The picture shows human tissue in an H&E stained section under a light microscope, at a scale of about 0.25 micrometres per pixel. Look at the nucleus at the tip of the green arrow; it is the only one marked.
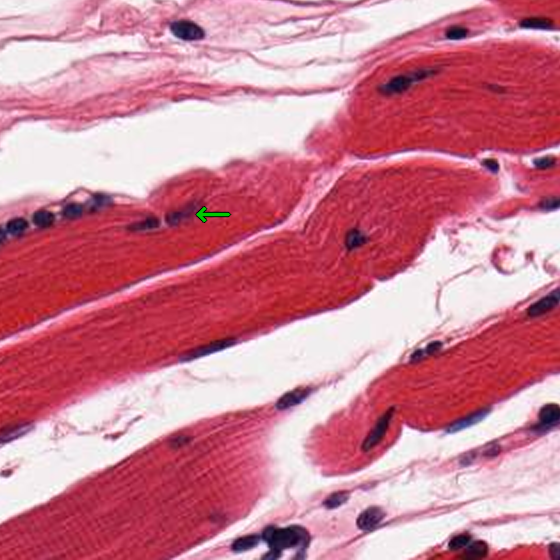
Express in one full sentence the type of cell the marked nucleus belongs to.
As shown, the marked nucleus belongs to a skeletal muscle fibre.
